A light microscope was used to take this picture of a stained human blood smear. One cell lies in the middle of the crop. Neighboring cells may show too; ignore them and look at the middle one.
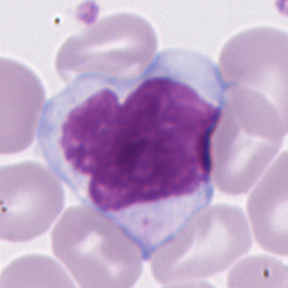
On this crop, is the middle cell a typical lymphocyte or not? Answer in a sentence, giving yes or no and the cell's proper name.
No, the cell at the center of this crop is a large granular lymphocyte instead of a typical lymphocyte.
